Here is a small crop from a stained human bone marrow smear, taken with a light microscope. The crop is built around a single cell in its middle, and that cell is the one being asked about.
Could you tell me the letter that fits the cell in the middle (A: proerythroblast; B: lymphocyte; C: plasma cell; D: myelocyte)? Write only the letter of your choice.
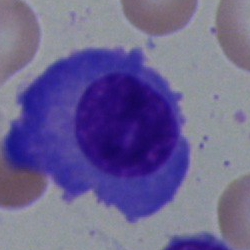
C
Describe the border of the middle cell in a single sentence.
The edge of the cell is broken up by ragged stretches or by outward projections.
